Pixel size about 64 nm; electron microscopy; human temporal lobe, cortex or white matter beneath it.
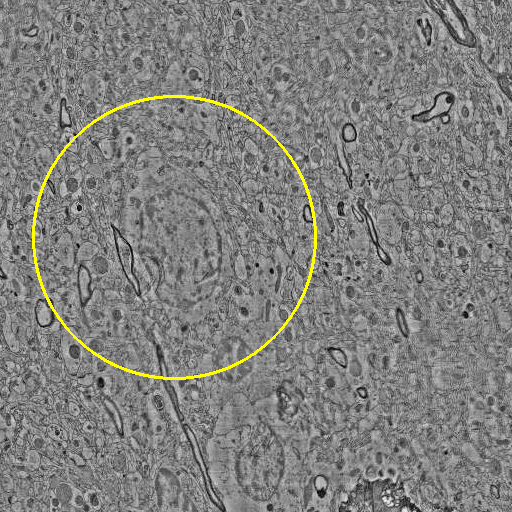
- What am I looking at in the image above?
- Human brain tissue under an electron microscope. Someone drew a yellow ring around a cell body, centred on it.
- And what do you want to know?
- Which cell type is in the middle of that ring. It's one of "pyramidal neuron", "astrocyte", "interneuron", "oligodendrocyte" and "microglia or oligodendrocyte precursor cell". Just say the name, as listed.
astrocyte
